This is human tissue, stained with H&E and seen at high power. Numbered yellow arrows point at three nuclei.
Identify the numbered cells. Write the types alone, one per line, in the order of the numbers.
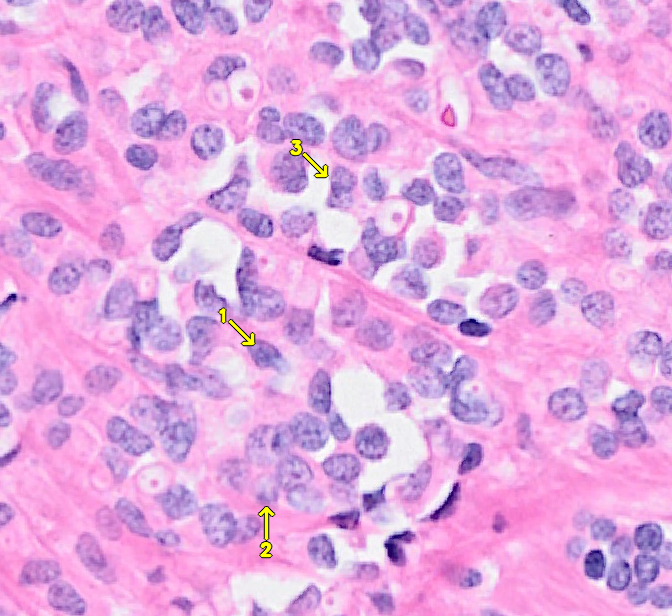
endothelial cell
carcinoma cell
carcinoma cell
